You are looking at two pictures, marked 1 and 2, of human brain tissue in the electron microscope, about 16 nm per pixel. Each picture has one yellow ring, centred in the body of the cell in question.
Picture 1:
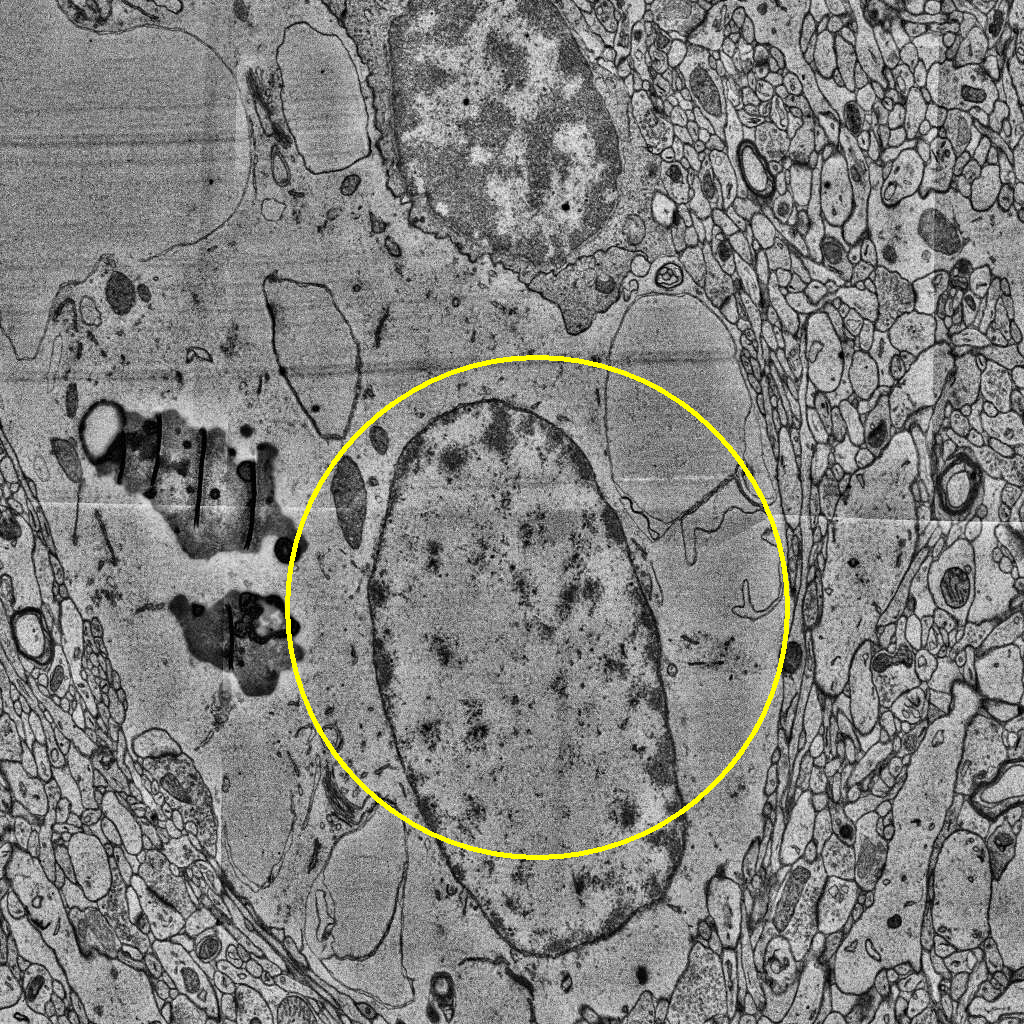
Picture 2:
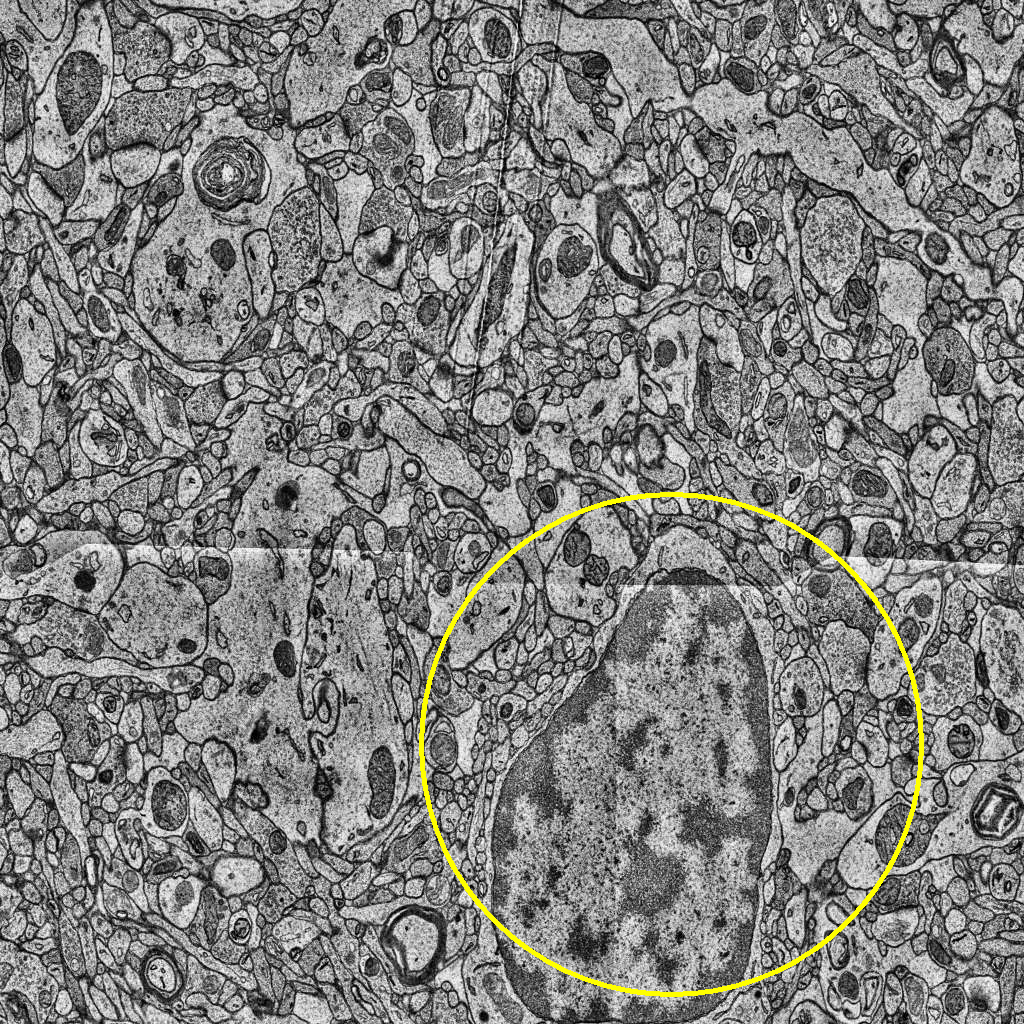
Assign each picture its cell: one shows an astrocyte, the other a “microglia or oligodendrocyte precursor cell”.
In picture 1 the cell is an astrocyte; in picture 2, a “microglia or oligodendrocyte precursor cell”.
